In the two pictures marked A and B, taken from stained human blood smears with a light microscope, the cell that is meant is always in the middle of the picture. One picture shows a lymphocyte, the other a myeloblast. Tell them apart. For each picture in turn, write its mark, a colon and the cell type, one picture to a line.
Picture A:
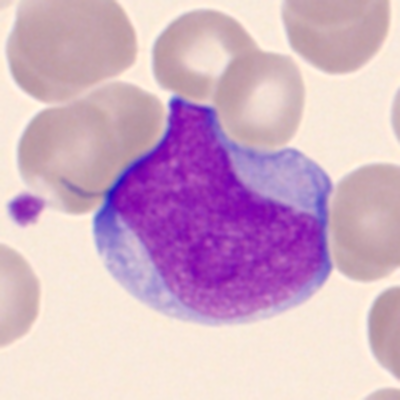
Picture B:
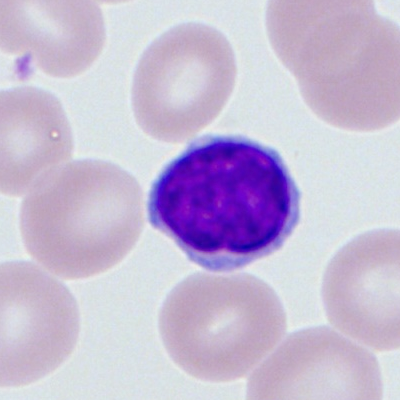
A: myeloblast
B: lymphocyte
